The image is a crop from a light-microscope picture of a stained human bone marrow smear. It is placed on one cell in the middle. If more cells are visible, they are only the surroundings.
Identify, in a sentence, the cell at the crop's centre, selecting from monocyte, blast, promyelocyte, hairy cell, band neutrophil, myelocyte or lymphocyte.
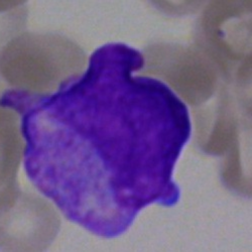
In the crop, the cell of interest at the centre is a blast.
